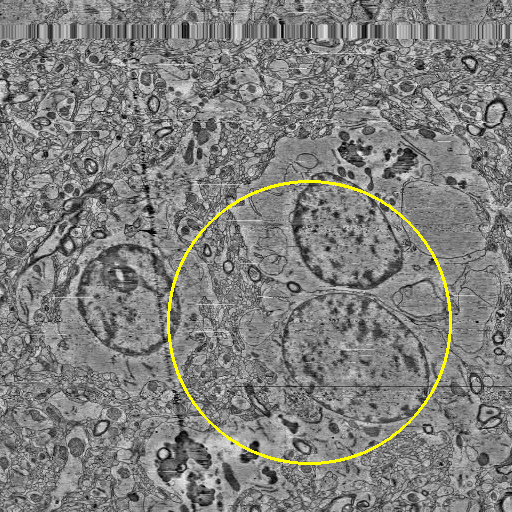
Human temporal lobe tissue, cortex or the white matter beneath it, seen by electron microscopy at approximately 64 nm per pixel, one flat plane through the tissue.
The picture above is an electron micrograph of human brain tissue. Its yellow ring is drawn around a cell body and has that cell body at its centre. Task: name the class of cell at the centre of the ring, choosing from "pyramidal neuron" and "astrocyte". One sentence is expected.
The ring surrounds the body of an astrocyte.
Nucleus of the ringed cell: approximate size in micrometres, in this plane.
The nucleus measures about 10 micrometers across in this plane.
